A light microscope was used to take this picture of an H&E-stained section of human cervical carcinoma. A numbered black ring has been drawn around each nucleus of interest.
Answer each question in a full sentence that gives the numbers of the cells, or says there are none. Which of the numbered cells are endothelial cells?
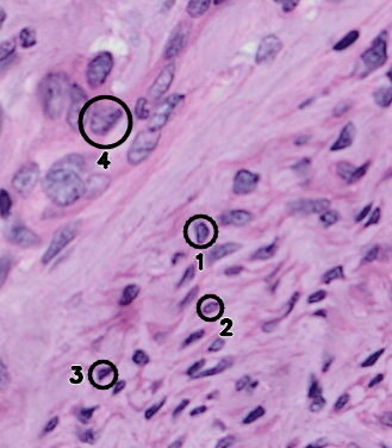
The one cell that is an endothelial cell is cell 4, and no other.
